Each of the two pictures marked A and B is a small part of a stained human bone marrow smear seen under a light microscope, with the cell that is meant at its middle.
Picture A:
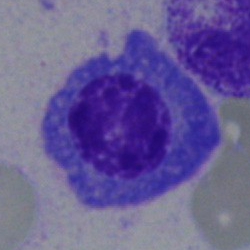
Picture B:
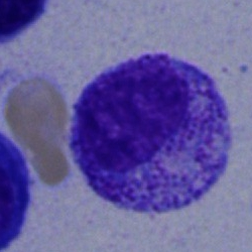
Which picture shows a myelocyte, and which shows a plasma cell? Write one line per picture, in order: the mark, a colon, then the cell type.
A: plasma cell
B: myelocyte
